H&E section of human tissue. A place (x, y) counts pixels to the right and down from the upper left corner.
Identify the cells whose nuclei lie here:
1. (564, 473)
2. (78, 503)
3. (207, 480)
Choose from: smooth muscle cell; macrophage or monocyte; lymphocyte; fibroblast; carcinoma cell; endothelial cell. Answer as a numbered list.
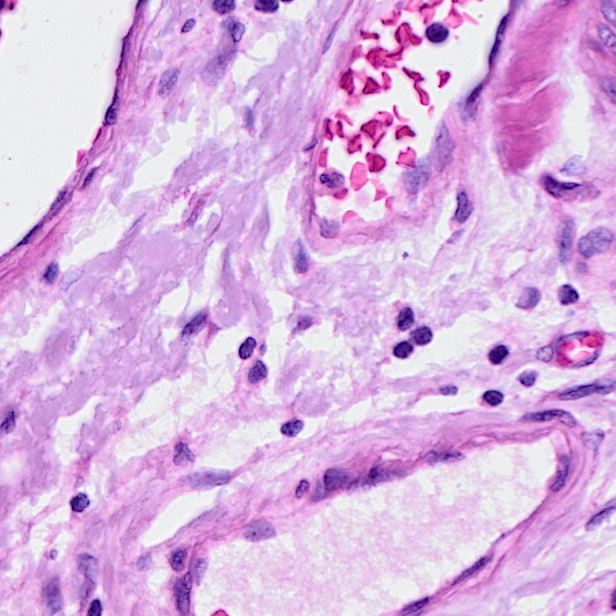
1. endothelial cell
2. lymphocyte
3. fibroblast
